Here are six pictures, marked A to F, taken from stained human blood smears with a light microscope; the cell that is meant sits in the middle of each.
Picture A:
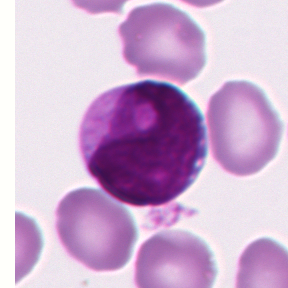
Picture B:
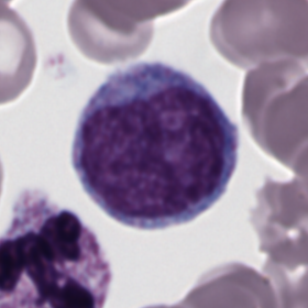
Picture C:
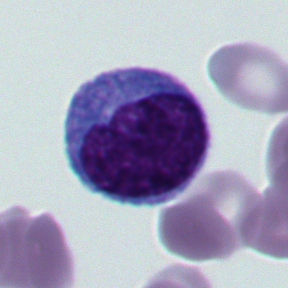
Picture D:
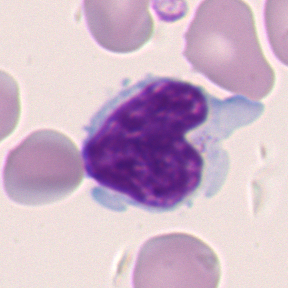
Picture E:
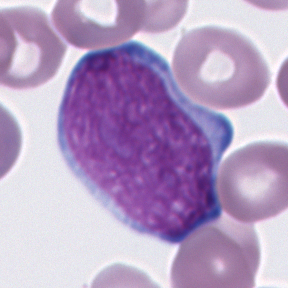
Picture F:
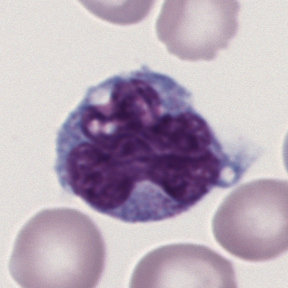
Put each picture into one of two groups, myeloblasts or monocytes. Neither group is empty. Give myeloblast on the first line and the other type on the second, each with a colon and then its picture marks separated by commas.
myeloblast: A, D, E
monocyte: B, C, F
